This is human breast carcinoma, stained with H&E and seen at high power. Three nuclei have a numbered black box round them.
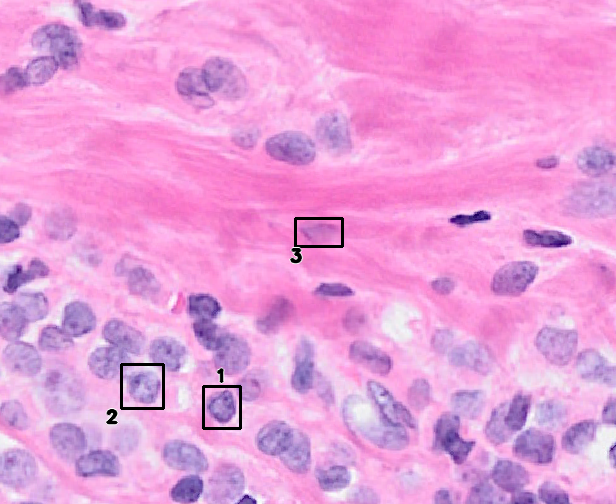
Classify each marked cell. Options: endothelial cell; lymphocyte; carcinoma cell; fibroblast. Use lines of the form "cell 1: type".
cell 1: carcinoma cell
cell 2: carcinoma cell
cell 3: fibroblast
